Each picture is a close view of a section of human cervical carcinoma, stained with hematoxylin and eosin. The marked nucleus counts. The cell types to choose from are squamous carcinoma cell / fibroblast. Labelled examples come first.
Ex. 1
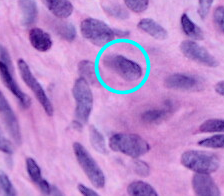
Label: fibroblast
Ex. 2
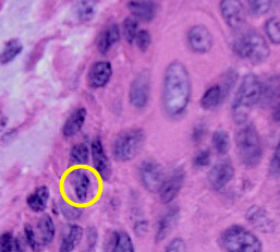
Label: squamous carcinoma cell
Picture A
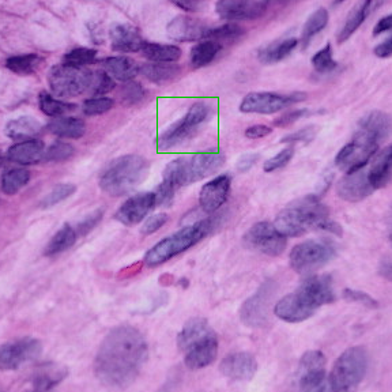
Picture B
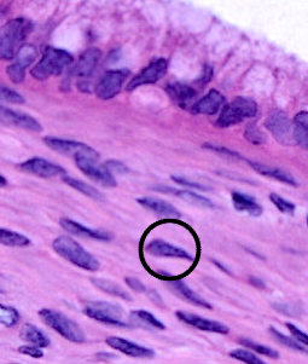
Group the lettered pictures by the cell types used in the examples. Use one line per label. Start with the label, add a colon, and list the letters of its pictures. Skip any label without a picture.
fibroblast: A, B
